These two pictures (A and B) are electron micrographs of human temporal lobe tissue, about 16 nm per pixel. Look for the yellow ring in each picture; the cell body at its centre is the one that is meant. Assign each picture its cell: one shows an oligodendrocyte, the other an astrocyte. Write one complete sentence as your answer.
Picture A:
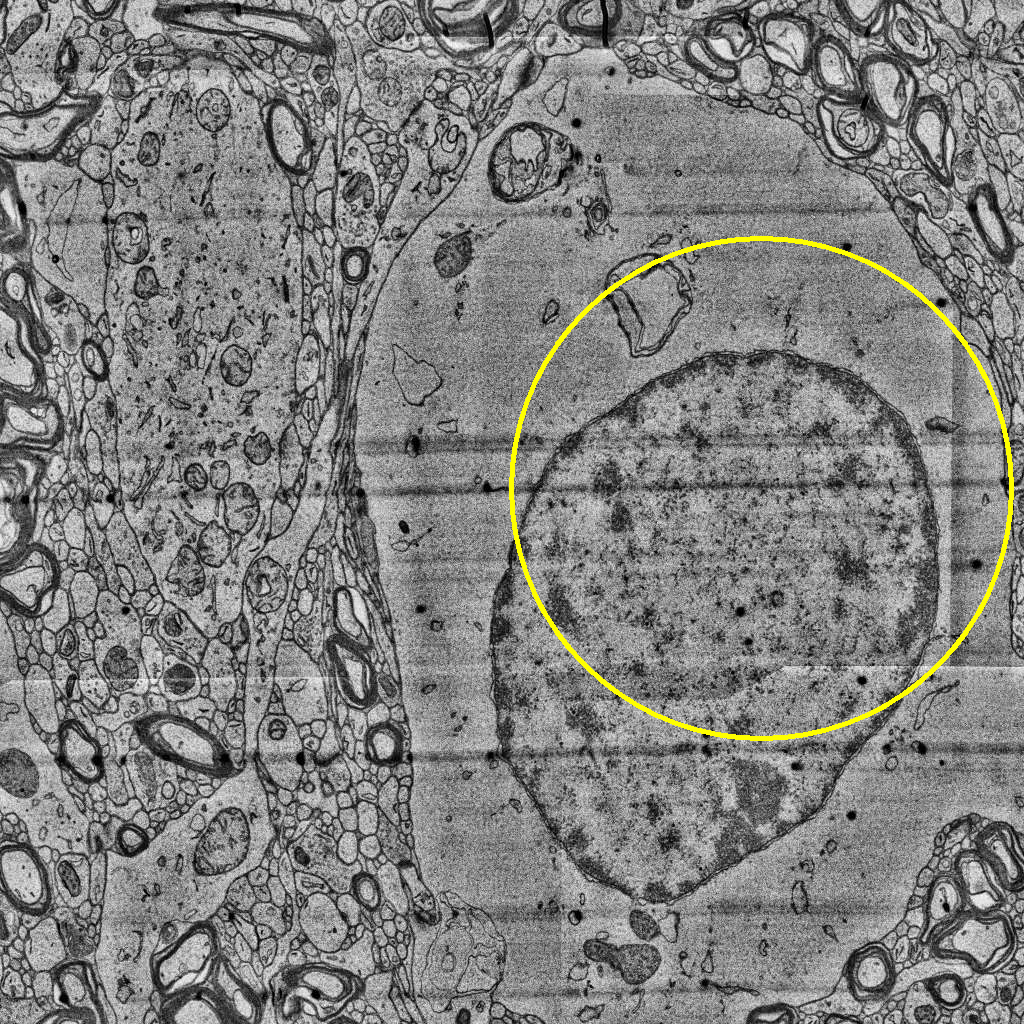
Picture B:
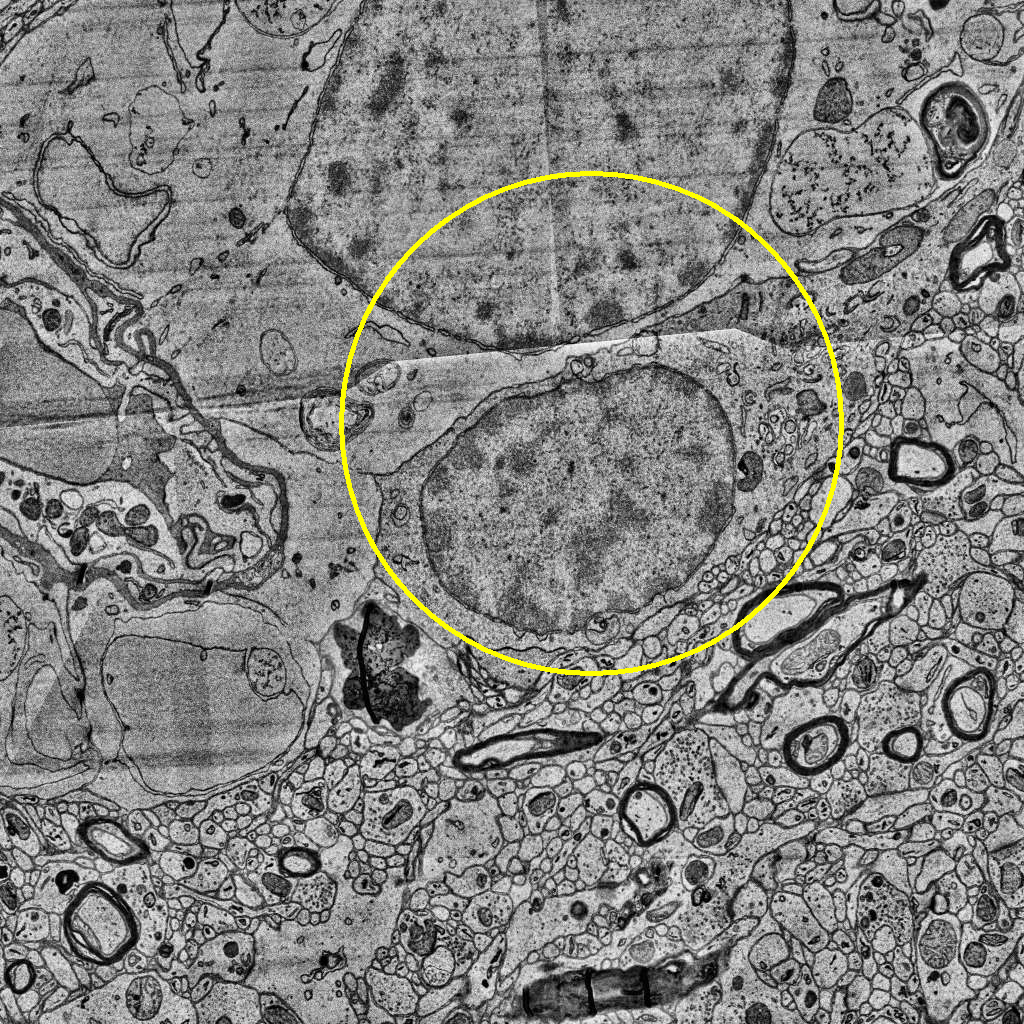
Picture B shows an oligodendrocyte, while picture A shows an astrocyte.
